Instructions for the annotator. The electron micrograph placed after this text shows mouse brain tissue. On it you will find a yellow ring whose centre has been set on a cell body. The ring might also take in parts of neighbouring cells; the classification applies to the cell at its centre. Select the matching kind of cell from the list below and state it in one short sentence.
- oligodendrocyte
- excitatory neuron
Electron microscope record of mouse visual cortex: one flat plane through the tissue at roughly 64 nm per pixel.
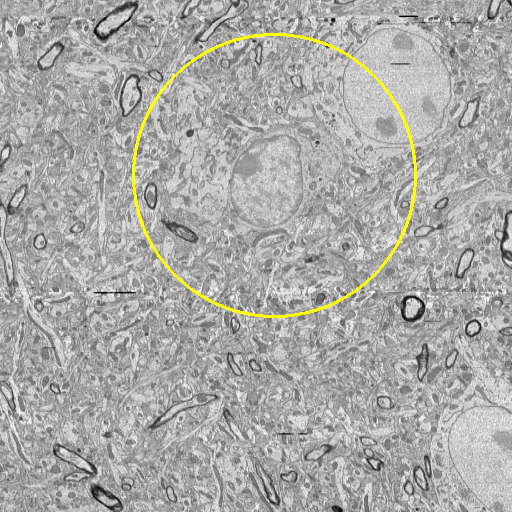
The ring is drawn on the cell body of an oligodendrocyte.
